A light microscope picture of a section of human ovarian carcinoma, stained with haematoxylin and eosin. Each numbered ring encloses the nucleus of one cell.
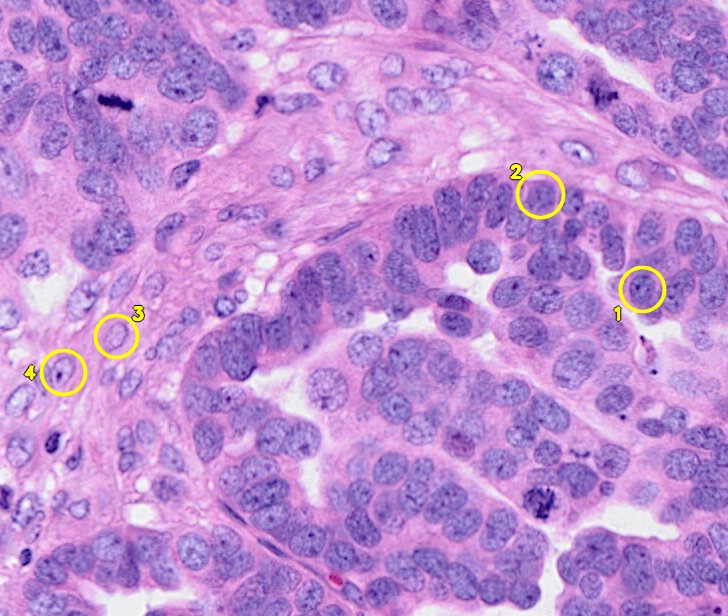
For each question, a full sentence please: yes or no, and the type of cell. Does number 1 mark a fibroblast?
No, cell 1 is classified as a carcinoma cell rather than a fibroblast.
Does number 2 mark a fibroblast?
No, the cell given the number 2 is a carcinoma cell, so not a fibroblast.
